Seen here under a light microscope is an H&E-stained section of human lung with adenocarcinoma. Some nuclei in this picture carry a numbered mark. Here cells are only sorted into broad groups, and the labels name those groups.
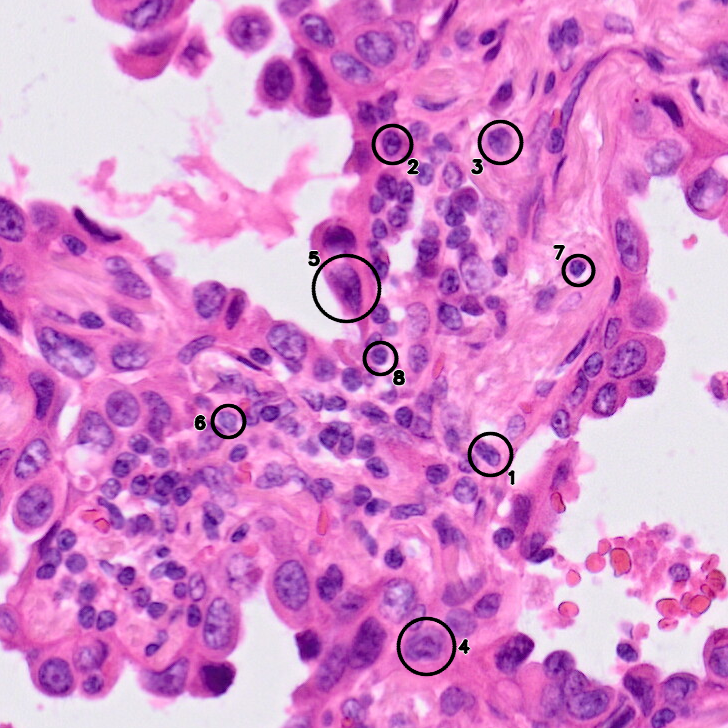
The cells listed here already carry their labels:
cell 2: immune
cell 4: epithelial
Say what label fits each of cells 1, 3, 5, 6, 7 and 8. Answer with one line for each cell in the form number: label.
1: immune
3: immune
5: epithelial
6: immune
7: immune
8: immune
